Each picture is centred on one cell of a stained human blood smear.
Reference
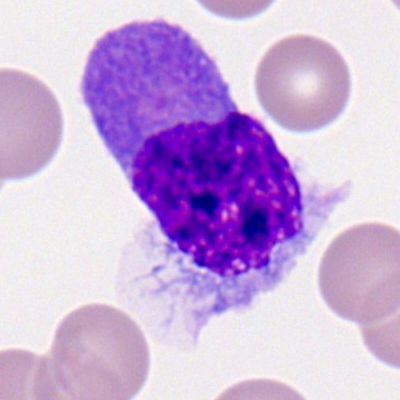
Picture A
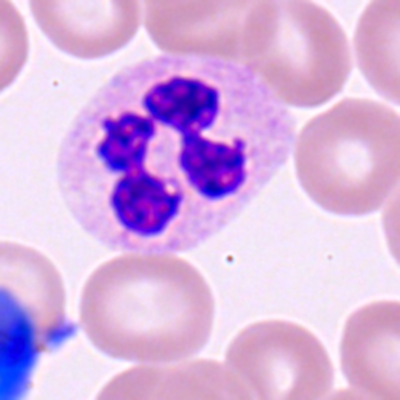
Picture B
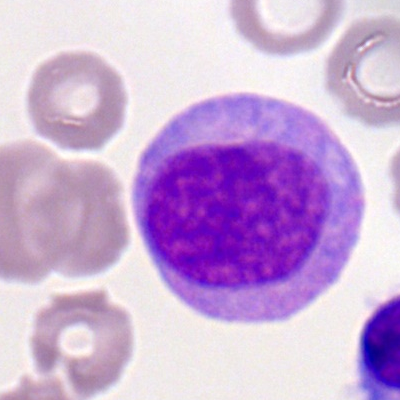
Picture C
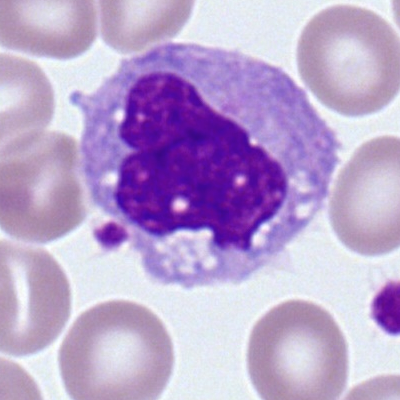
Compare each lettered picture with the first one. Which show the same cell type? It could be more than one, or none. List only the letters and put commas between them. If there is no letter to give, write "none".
B, C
